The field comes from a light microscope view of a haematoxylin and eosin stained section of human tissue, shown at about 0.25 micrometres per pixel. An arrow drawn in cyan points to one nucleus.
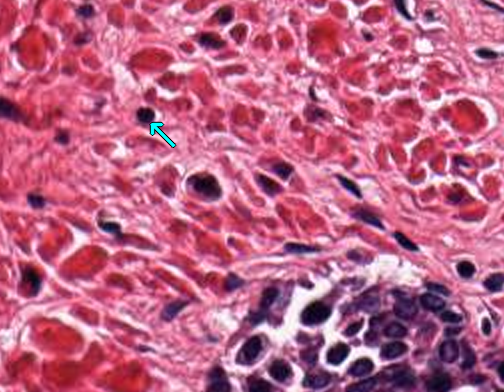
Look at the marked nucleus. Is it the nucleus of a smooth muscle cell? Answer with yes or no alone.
no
